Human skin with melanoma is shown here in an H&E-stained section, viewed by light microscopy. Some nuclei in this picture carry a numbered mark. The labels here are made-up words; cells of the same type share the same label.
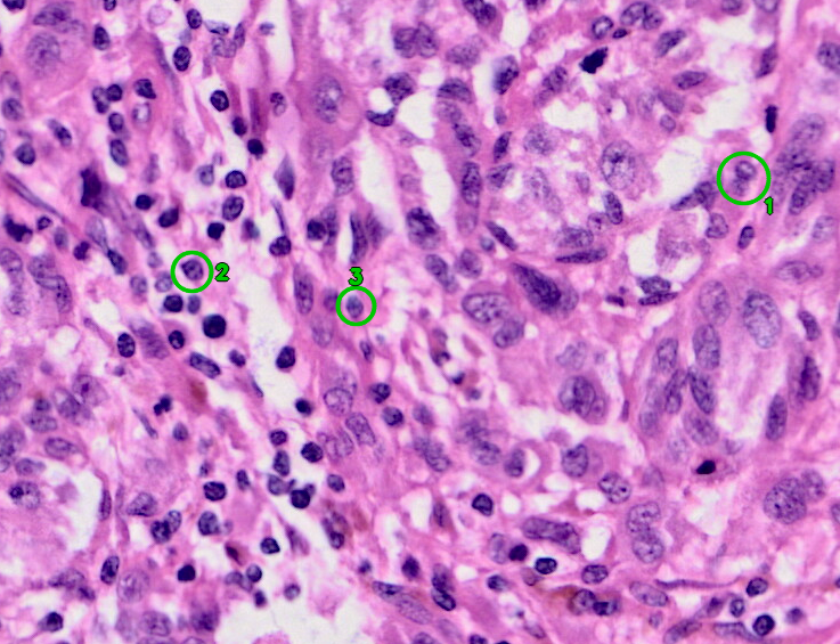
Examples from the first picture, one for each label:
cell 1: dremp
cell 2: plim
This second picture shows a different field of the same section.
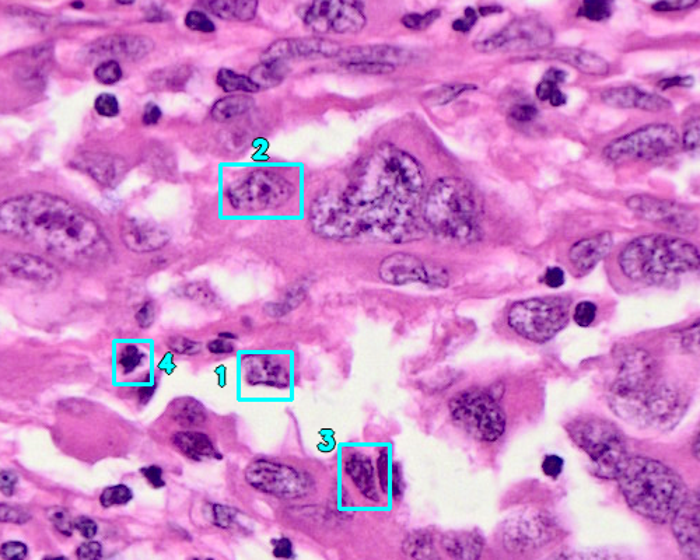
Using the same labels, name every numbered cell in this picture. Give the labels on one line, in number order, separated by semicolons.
dremp; dremp; dremp; plim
